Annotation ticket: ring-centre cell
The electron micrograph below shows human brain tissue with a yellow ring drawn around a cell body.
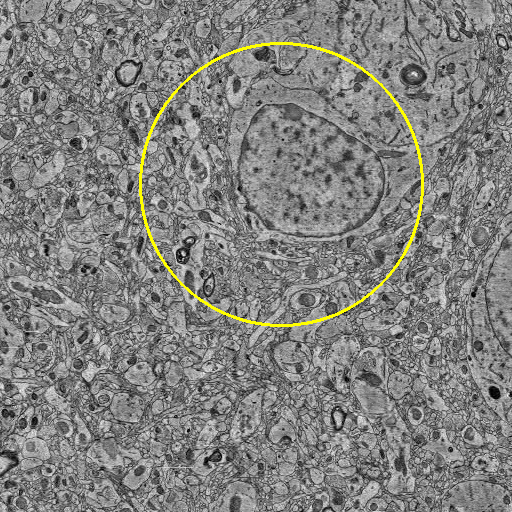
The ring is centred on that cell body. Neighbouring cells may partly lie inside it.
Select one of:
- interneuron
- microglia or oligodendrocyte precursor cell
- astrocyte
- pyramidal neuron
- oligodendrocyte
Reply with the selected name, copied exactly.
microglia or oligodendrocyte precursor cell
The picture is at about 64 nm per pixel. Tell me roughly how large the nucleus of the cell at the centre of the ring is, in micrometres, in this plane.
The nucleus measures about 9 micrometers across in this plane.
